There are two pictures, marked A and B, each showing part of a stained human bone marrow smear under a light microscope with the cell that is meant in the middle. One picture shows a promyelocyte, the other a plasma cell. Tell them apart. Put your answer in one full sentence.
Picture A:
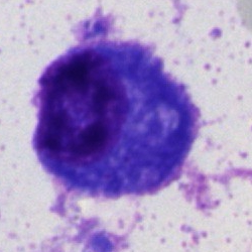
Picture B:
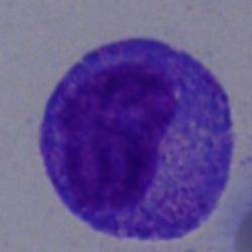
The cell in picture A is a plasma cell, and the one in picture B is a promyelocyte.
